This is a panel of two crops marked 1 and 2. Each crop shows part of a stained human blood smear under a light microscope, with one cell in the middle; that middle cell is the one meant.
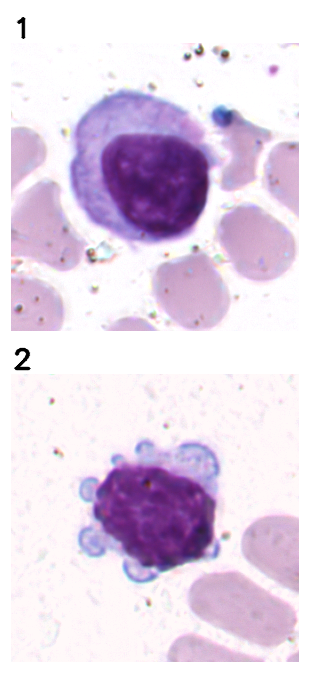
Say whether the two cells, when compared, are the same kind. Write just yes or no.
yes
